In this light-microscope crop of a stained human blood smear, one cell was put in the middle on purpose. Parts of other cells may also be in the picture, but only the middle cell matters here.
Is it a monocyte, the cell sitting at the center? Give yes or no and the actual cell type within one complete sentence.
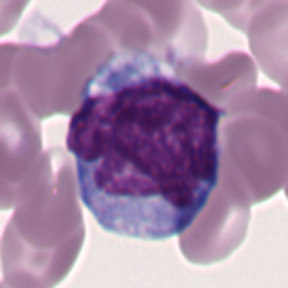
Yes, the cell at the heart of the crop is a monocyte.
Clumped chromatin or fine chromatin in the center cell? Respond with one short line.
What stands out is fine chromatin lacking any coarse clumps.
